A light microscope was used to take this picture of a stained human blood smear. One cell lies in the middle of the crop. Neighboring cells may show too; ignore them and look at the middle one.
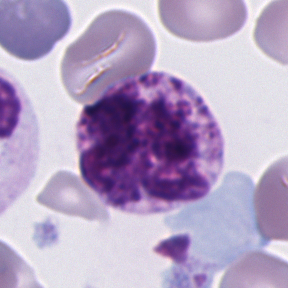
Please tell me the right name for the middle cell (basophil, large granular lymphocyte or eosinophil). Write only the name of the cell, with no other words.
basophil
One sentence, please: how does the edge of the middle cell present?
No surface projections are present; the cell outline is smooth.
